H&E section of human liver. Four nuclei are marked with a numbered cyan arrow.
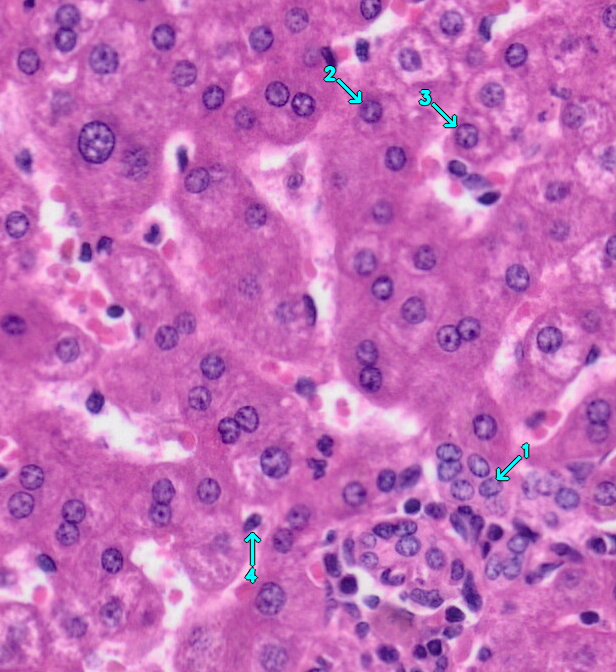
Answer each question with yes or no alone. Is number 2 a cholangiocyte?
no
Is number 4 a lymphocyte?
yes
